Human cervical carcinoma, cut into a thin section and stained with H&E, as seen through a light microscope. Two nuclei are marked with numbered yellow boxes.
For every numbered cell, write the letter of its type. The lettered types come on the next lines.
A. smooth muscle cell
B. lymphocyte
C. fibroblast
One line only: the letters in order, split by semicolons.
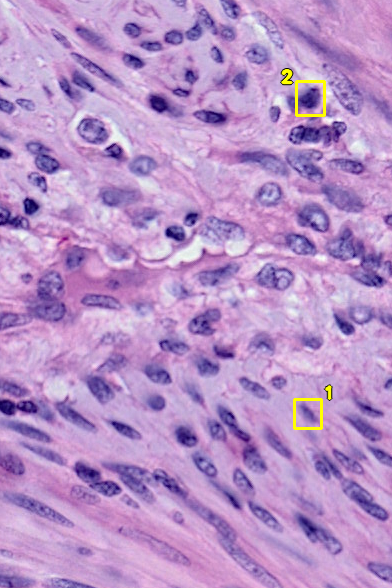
A; B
